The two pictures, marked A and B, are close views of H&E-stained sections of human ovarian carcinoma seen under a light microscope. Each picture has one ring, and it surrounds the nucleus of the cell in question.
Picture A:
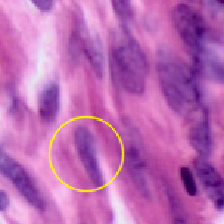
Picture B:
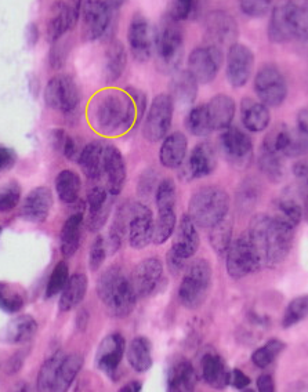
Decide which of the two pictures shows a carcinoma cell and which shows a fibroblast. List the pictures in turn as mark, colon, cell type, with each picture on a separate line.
A: fibroblast
B: carcinoma cell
